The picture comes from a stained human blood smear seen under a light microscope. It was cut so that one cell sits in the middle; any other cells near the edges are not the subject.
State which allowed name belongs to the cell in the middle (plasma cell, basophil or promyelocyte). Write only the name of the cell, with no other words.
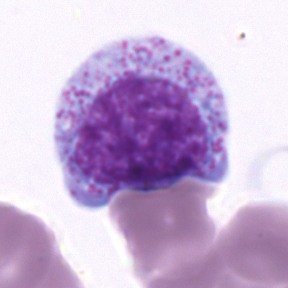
promyelocyte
